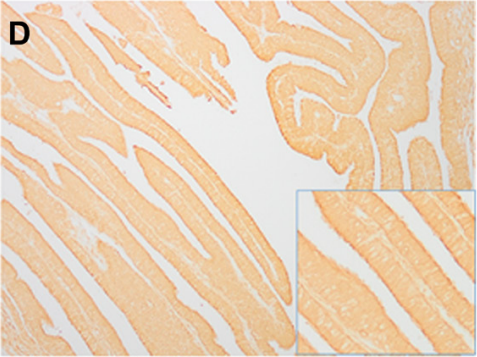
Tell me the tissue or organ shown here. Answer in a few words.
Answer: Fallopian tube.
